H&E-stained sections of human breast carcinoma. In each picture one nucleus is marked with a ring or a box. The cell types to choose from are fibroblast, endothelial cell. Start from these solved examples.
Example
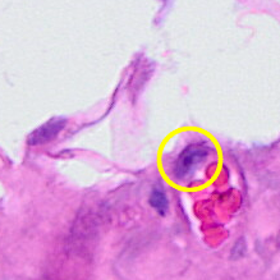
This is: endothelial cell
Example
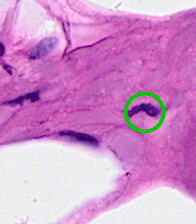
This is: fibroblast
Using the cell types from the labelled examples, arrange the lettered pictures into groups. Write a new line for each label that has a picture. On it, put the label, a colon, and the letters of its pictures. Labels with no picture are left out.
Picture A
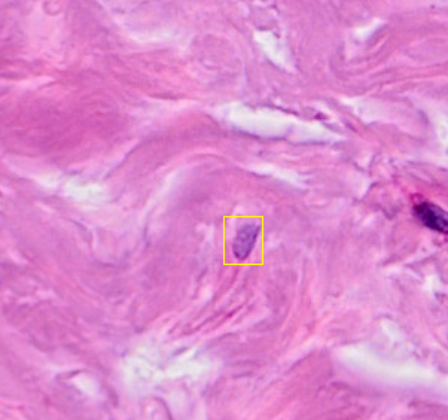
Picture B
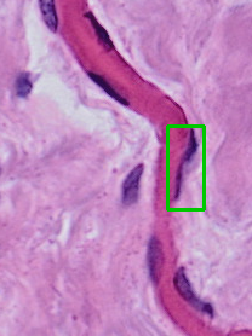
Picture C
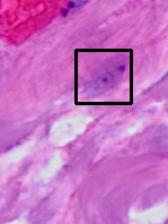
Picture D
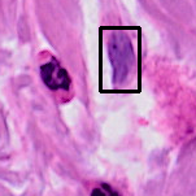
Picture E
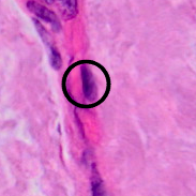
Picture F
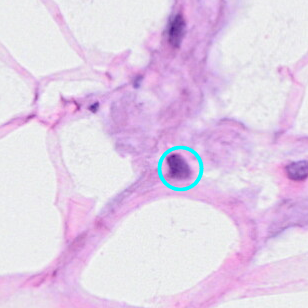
fibroblast: A, C, D, F
endothelial cell: B, E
